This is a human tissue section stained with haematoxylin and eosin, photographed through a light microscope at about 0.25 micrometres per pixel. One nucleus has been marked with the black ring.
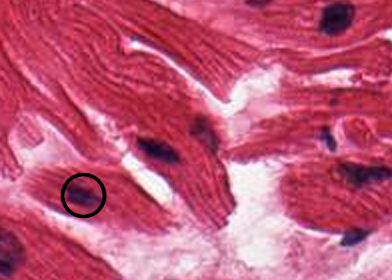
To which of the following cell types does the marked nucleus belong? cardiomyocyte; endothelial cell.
cardiomyocyte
